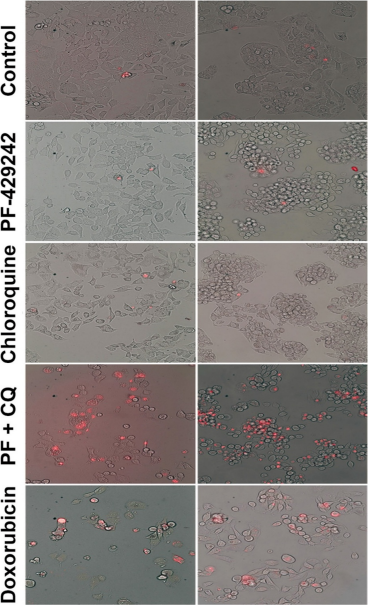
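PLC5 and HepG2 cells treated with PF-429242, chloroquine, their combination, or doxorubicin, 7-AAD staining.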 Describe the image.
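Cultured adherent cells are shown in transmitted light with a red fluorescence overlay, in a grid of ten small fields arranged in two columns. In the right-hand column the cells tend to grow in tighter, piled clusters than in the left-hand column.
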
